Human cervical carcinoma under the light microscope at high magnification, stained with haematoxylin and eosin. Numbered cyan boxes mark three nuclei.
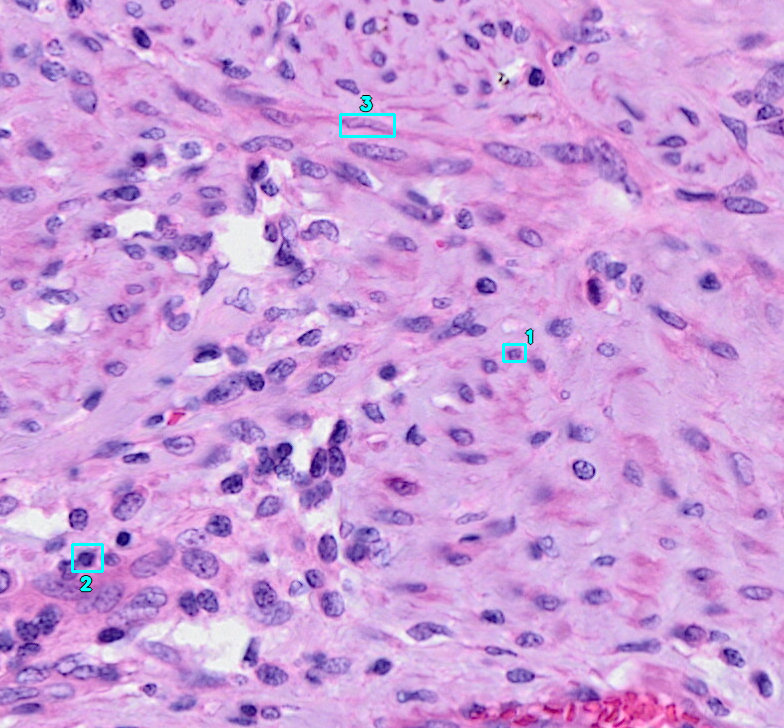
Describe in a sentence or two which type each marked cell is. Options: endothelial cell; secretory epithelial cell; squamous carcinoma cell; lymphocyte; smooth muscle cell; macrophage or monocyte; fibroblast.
Cell 1 is a smooth muscle cell, cell 2 is a lymphocyte and cell 3 is a smooth muscle cell.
